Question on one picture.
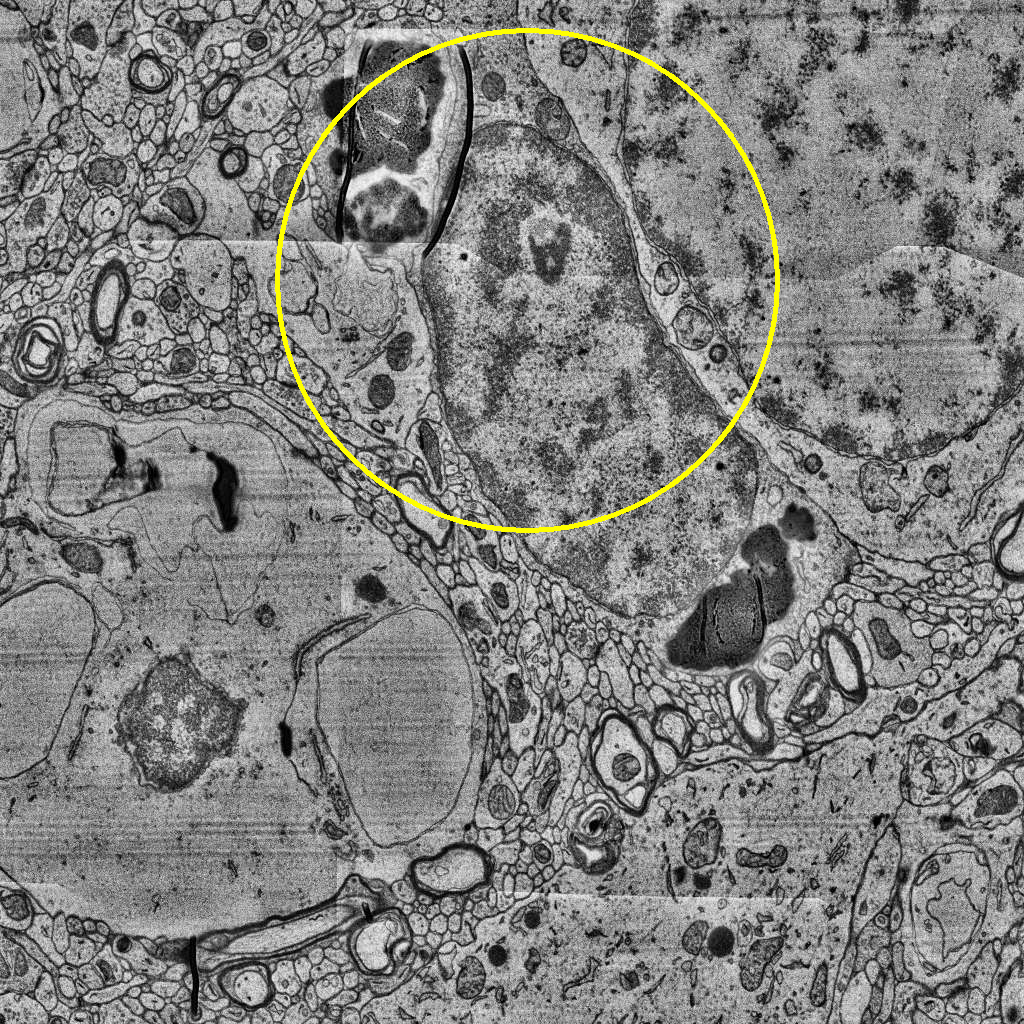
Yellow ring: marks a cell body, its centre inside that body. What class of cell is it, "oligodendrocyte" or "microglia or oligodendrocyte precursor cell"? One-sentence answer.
This is a microglial cell or oligodendrocyte precursor cell, the cell at the ring's centre.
